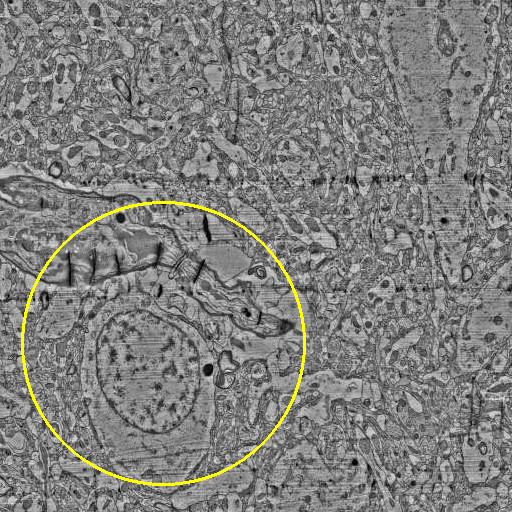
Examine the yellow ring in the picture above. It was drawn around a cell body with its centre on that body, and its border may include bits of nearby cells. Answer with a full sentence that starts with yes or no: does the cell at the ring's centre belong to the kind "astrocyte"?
No, the cell at the heart of the ring shown in the image is a different kind of cell.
